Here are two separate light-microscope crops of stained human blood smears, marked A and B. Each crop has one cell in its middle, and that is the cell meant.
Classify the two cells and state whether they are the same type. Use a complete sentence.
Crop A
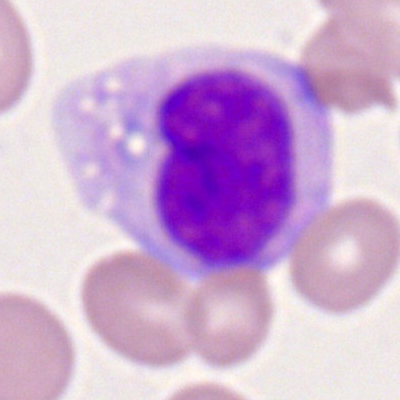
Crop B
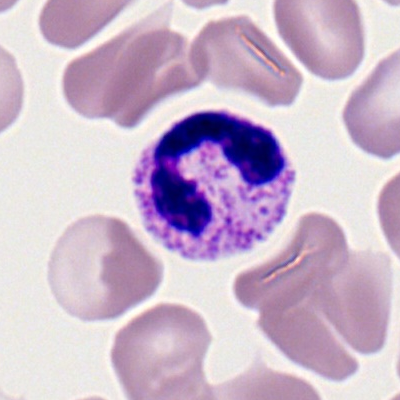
No, crop A features a monocyte, while crop B features a band neutrophil.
